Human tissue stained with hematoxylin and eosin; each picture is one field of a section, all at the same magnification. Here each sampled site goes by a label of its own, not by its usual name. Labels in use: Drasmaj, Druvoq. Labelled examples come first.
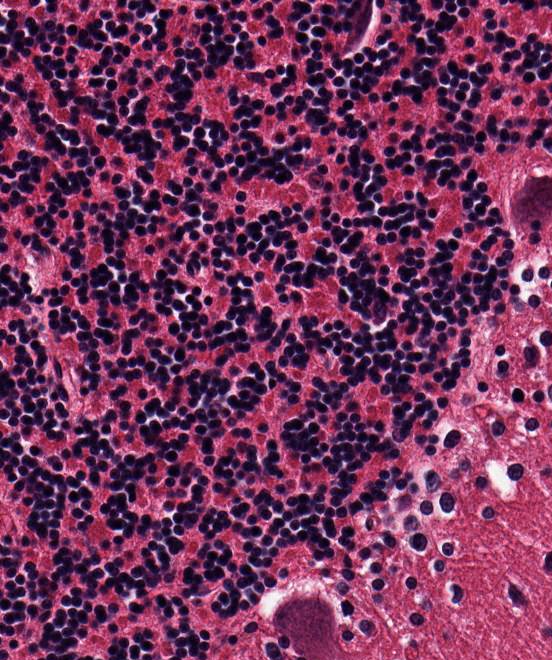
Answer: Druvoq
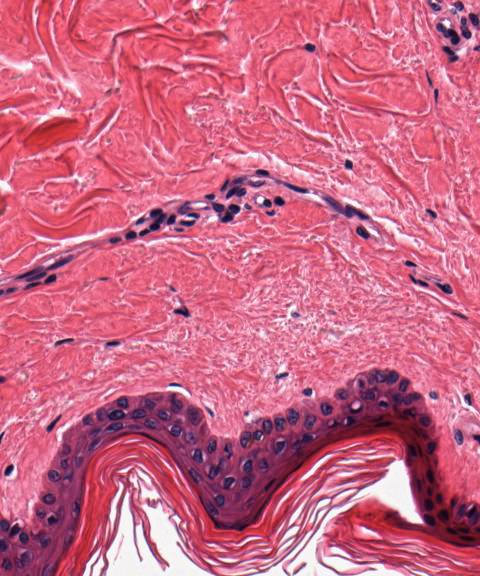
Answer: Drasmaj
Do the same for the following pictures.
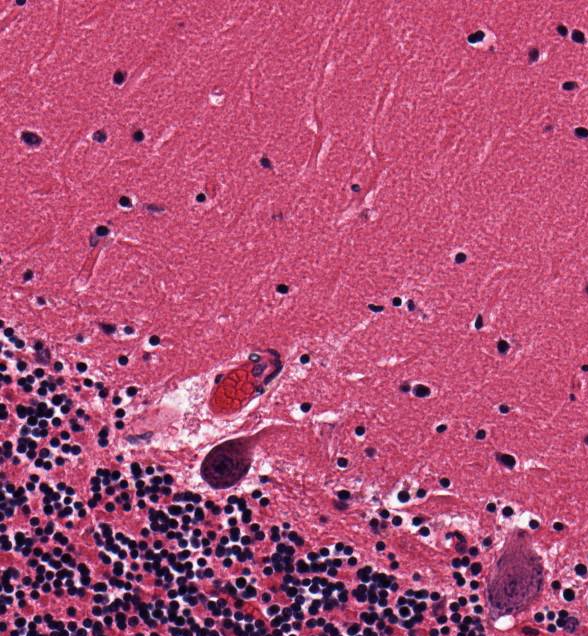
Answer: Druvoq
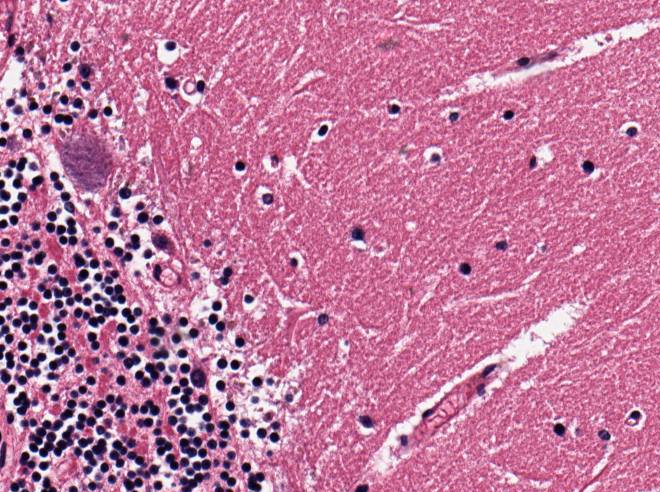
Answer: Druvoq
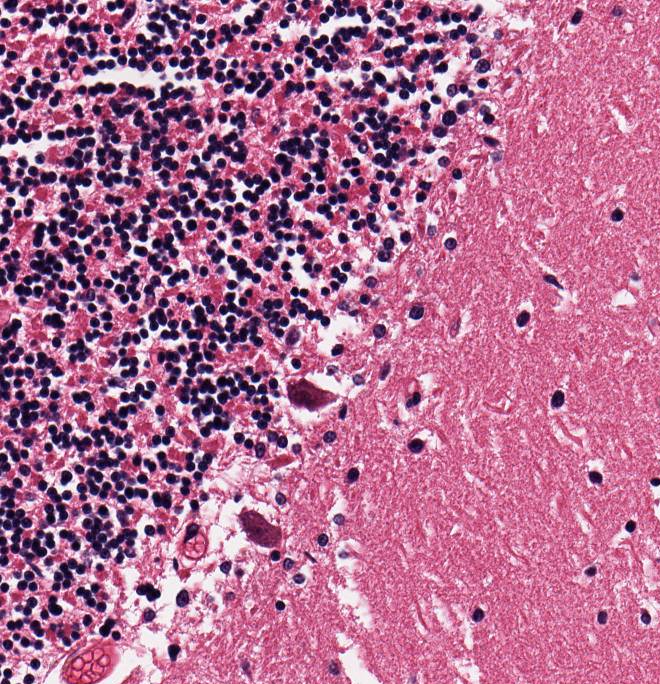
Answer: Druvoq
